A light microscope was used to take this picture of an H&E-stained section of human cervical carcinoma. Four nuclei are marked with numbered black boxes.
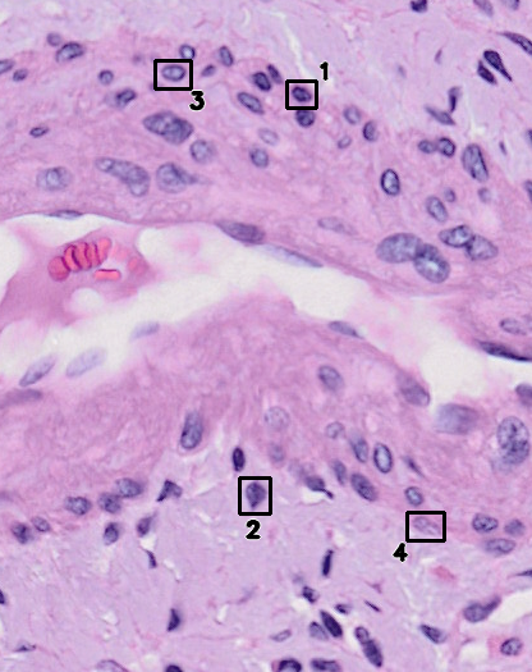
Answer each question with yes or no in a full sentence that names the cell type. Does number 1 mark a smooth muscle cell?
Yes, the marked cell with number 1 is a smooth muscle cell.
